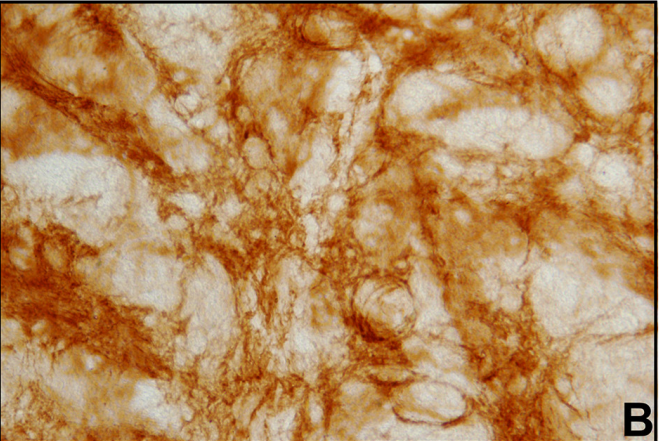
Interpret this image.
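This field shows a dense network of brown-stained fibers woven throughout the tissue. The fibers run in bundles and fine strands that criss-cross and branch, leaving pale, unstained rounded and elongated spaces between them. In places the strands curve around pale profiles, forming ring-like outlines. The overall pattern is a reticular meshwork rather than staining of individual cell bodies.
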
